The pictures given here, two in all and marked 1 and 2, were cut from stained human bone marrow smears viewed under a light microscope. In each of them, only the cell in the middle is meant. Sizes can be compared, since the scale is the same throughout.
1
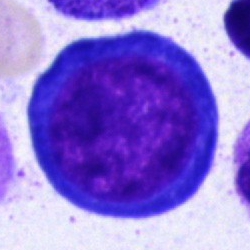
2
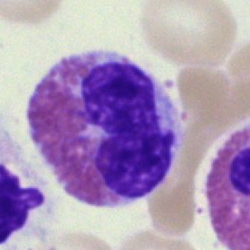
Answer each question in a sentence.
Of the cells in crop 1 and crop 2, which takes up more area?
Larger is the cell in crop 1, at roughly 1.5 times the area of the other.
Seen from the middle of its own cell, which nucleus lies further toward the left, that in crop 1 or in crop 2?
In crop 1 the nucleus is shifted more toward the left.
